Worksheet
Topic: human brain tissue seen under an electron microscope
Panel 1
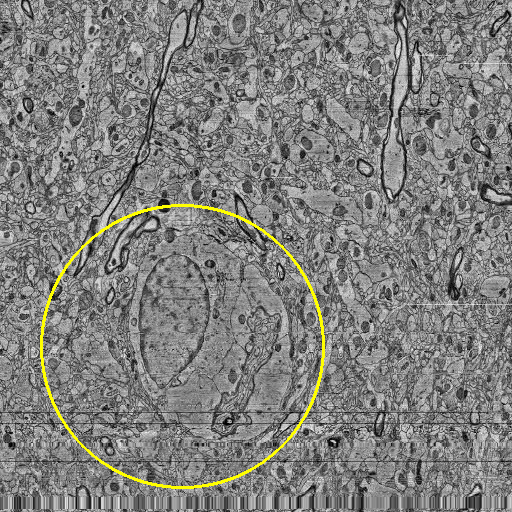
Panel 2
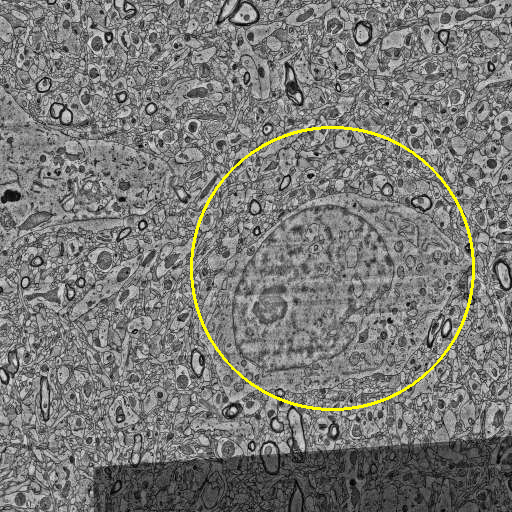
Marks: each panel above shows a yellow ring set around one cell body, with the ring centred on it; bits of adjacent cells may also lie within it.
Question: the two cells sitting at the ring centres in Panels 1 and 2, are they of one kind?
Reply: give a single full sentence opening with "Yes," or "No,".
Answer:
No, the two ring-centre cells in Panel 1 and Panel 2 are of two kinds.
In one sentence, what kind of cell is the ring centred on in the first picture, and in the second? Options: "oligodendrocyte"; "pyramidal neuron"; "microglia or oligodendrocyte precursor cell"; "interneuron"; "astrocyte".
The cell at the centre of the second ring is an interneuron; the first ring's cell is a microglial cell or oligodendrocyte precursor cell.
